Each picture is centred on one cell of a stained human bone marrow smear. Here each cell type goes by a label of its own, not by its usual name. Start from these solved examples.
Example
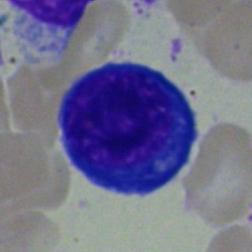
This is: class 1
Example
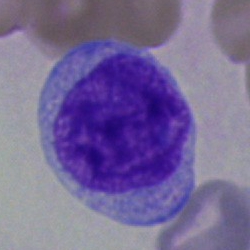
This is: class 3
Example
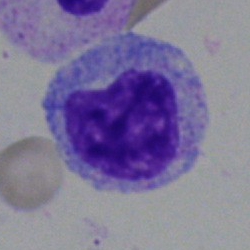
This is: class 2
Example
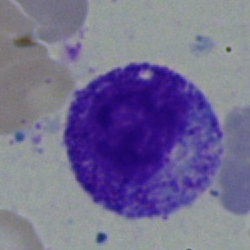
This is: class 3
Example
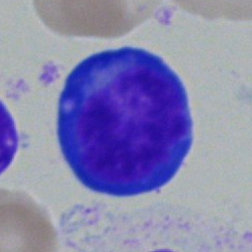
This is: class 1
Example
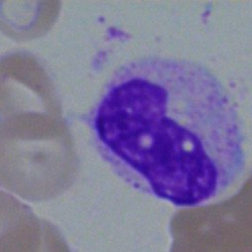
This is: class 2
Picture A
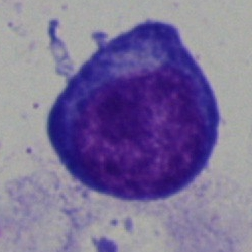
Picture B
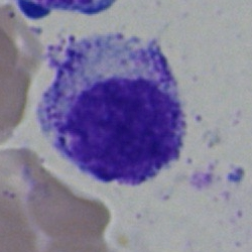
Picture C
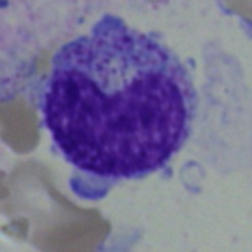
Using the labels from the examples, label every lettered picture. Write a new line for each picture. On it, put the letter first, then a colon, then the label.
A: class 1
B: class 3
C: class 2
